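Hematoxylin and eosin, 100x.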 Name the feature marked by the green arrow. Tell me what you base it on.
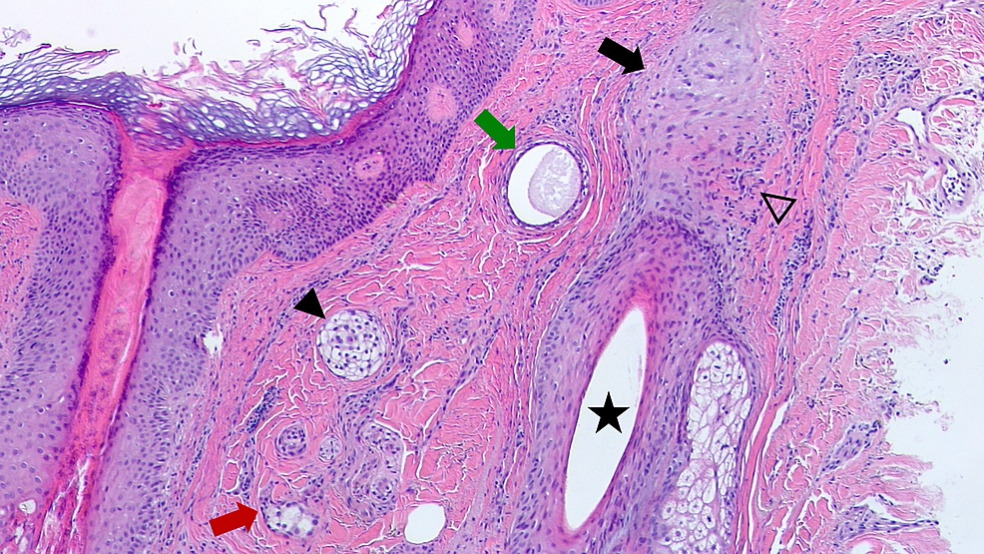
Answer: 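Syringoma duct. A round space with a thin epithelial lining. Faint pink material inside the lumen. Set in the dermis near the clear cell nests.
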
